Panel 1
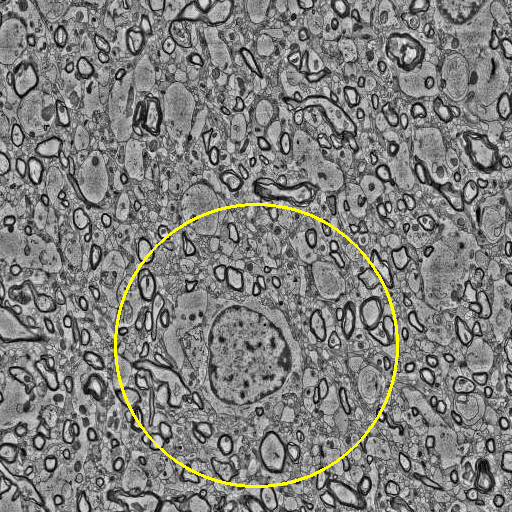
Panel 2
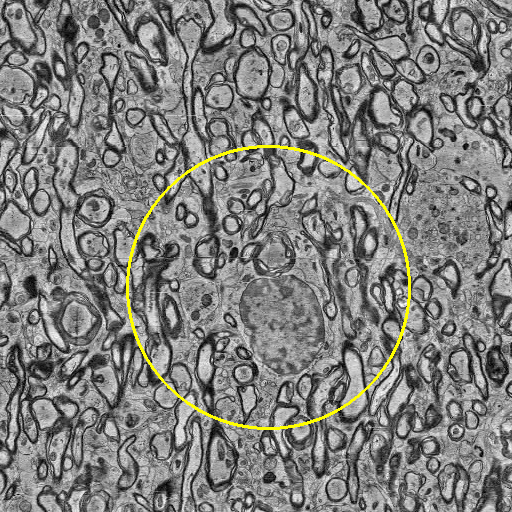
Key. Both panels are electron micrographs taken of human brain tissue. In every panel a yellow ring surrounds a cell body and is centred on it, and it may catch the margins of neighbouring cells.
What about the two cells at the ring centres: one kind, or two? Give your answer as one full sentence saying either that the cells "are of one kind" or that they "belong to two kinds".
Across Panels 1 and 2, the two cells at the ring centres are of one kind.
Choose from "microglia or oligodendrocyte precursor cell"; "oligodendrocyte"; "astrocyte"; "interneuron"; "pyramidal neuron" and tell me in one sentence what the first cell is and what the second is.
The cell in the first picture is a microglial cell or oligodendrocyte precursor cell, and so is the one in the second.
